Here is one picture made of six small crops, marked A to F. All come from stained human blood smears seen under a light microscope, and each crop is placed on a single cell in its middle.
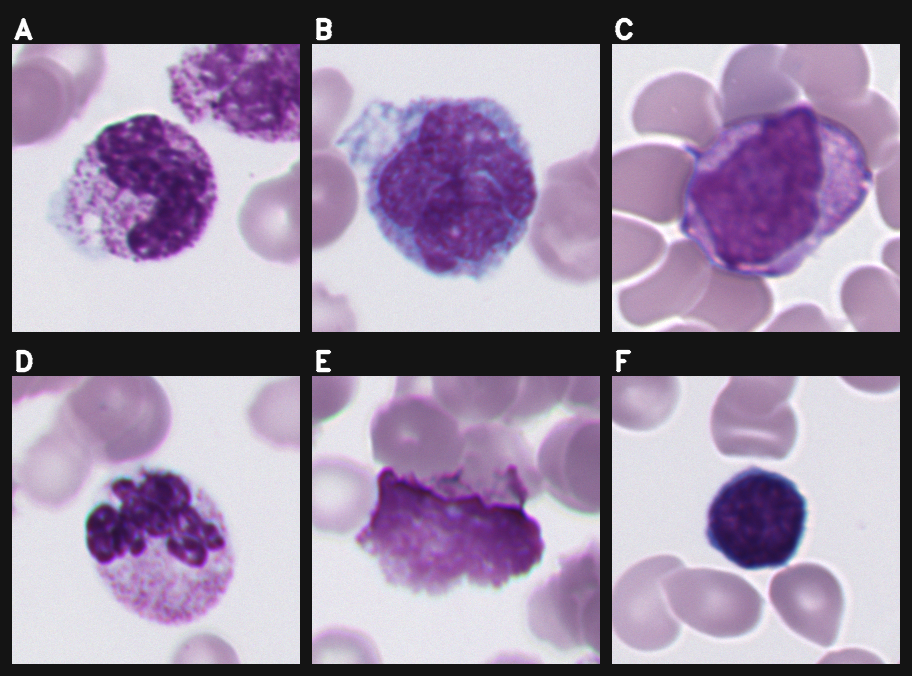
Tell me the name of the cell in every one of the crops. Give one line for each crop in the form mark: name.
A: band neutrophil
B: monocyte
C: atypical promyelocyte
D: segmented neutrophil
E: smudge cell
F: typical lymphocyte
